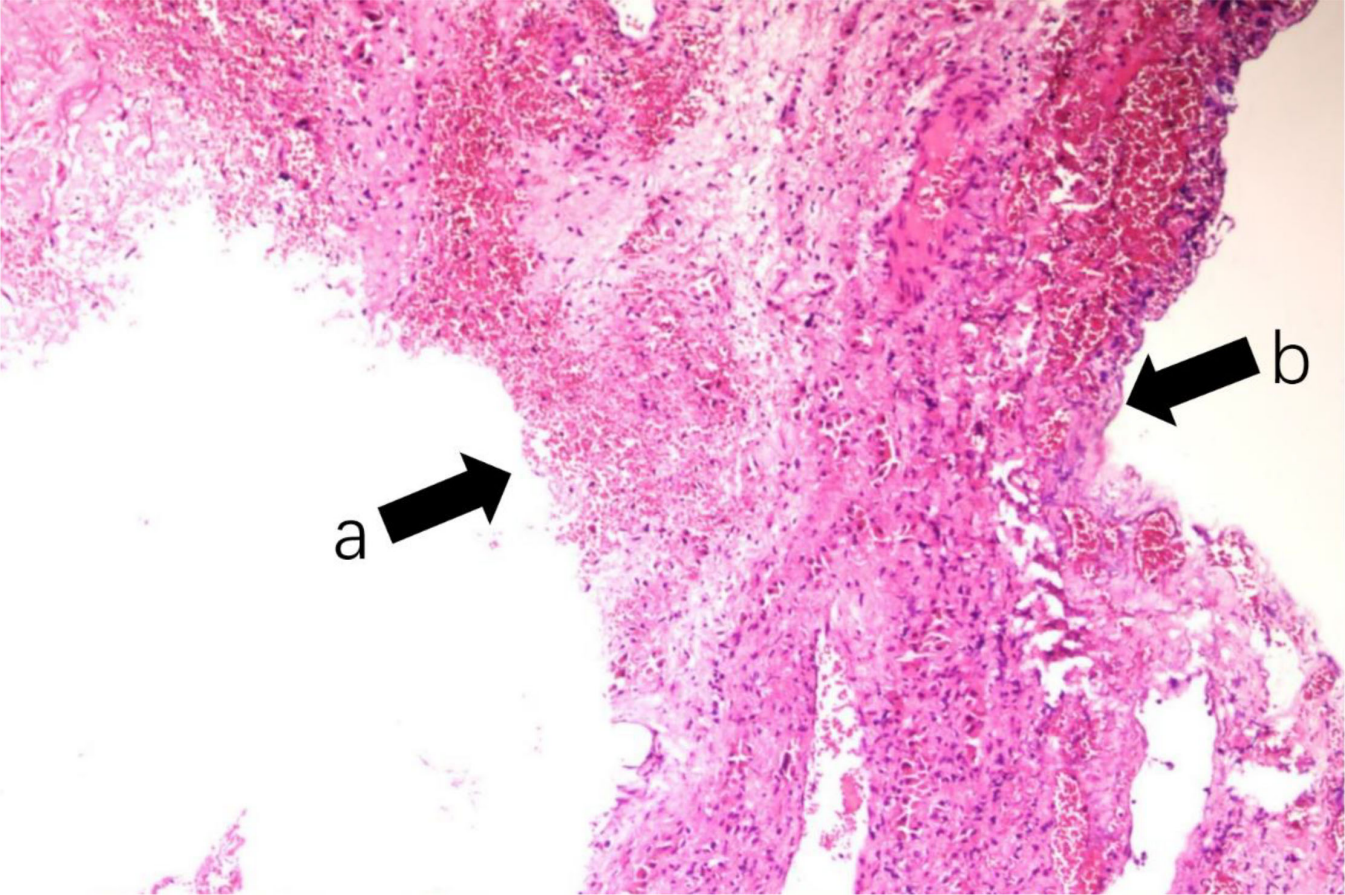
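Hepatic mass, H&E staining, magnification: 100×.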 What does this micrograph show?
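A band of pink fibrous stroma with scattered spindle-shaped, dark purple nuclei runs between a large empty space on the left and a free surface on the right. The stroma holds many pools of red blood cells, seen as dense red granular areas, and patches of paler, loose pink tissue. Along the right-hand free surface runs a thin rim of darker purple nuclei. The large space on the left is empty, with only a few loose fragments at its margin. Narrow clefts and gaps split the fibrous tissue.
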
